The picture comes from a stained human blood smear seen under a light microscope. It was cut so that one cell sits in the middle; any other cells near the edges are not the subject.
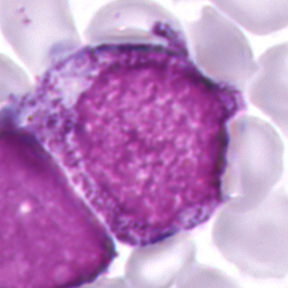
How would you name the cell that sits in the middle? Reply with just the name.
myelocyte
